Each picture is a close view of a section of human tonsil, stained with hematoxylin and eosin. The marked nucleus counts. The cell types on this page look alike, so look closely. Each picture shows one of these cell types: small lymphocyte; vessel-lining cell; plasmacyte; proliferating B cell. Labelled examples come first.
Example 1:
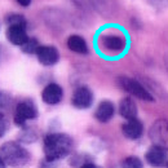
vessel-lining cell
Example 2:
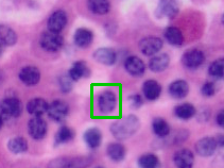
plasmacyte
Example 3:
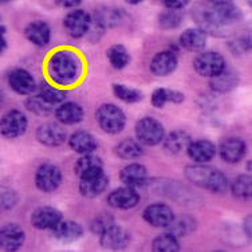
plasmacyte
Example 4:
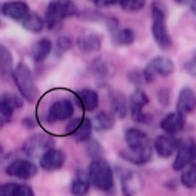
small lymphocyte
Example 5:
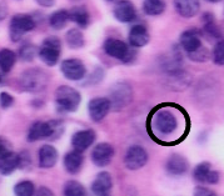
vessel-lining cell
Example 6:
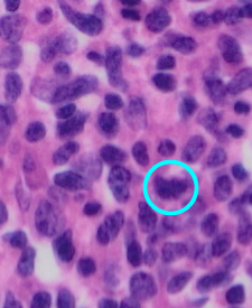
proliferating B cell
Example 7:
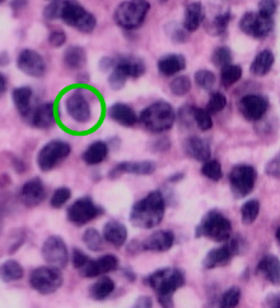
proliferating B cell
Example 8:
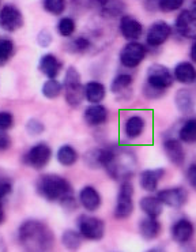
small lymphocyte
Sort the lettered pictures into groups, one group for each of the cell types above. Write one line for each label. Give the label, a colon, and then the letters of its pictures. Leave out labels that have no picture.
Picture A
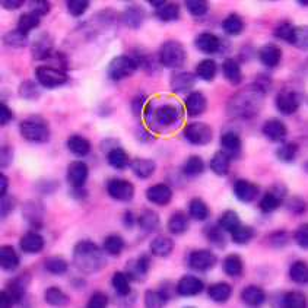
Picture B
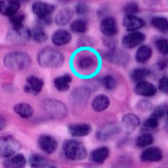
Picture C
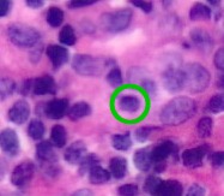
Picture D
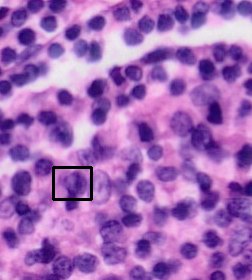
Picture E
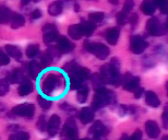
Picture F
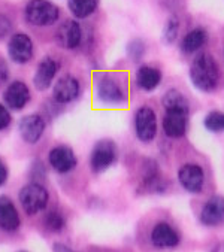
small lymphocyte: A, E
vessel-lining cell: B, C
plasmacyte: F
proliferating B cell: D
